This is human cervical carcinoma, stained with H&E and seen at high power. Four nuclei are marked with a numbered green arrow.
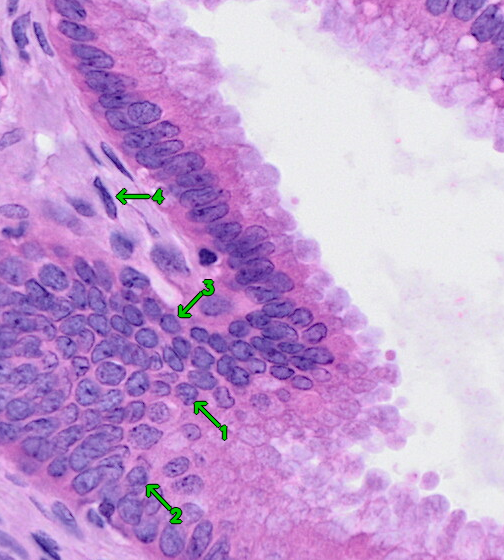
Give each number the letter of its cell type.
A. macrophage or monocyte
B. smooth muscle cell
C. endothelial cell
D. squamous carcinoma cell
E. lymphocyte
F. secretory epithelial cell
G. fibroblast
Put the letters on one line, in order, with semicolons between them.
F; F; F; G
